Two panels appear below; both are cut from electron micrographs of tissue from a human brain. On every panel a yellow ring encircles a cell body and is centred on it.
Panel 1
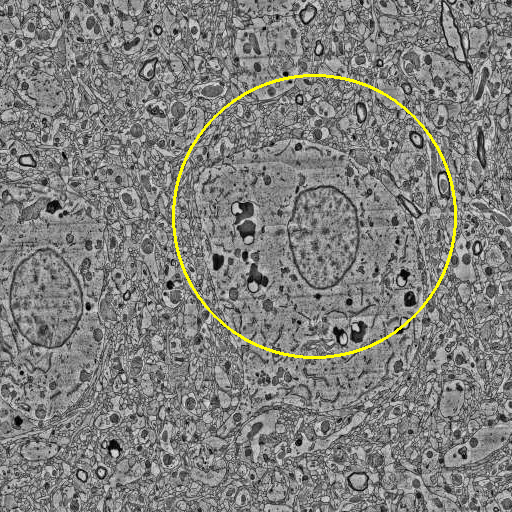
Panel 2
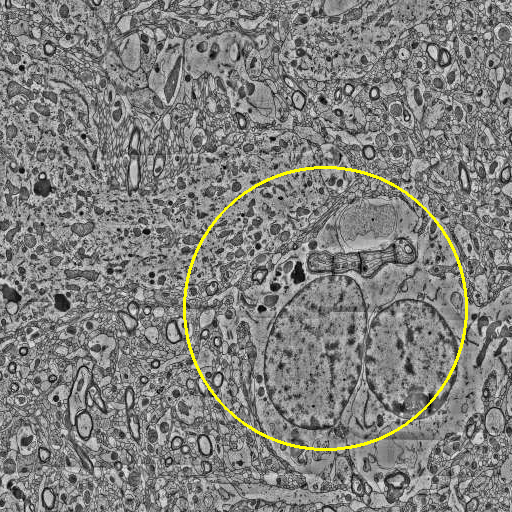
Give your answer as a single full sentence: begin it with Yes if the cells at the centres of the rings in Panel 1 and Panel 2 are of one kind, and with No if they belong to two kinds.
No, the cells in the middle of the rings in Panels 1 and 2 are of two kinds.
